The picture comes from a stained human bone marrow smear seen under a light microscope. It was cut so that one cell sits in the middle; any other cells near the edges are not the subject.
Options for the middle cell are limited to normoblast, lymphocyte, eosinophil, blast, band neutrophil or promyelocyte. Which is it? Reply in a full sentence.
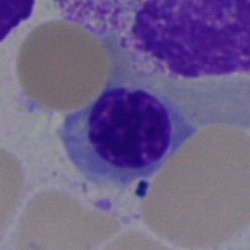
The cell under consideration, at the middle of the crop, is a normoblast.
